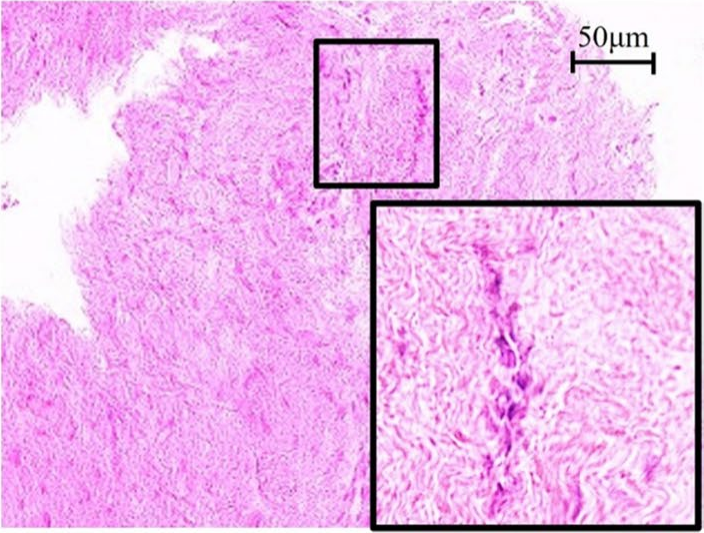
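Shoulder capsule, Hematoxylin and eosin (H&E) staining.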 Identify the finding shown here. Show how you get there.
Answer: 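Disorganized collagen arrangement. The pink fibres are fine and wavy and run in many directions. There are no parallel bundles with a shared orientation. The enlarged inset shows irregular, interwoven fibres.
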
